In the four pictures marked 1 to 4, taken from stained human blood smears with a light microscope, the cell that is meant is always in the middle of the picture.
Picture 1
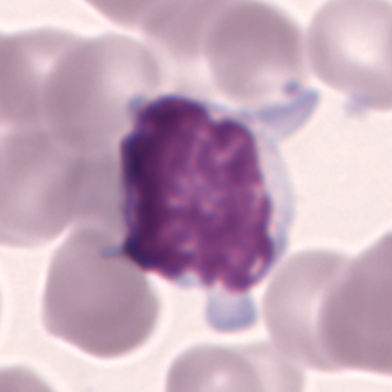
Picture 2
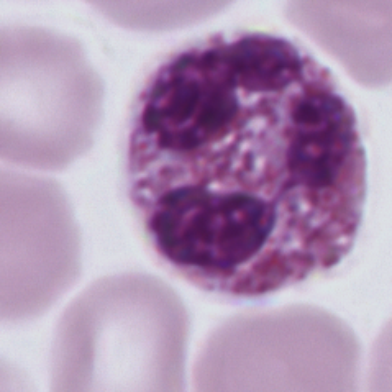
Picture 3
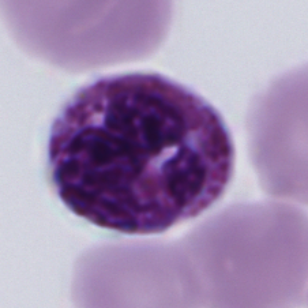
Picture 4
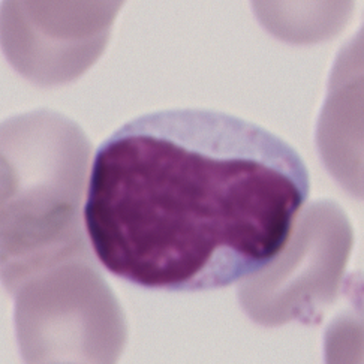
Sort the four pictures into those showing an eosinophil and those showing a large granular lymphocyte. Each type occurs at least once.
1: large granular lymphocyte
2: eosinophil
3: eosinophil
4: large granular lymphocyte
